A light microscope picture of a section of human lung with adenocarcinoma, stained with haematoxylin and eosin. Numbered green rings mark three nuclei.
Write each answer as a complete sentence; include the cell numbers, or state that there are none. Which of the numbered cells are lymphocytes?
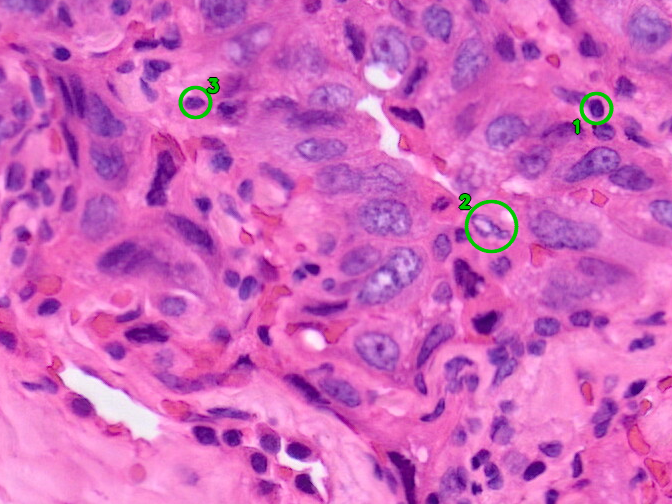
The cells numbered 1 and 3 are of one kind: lymphocytes.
